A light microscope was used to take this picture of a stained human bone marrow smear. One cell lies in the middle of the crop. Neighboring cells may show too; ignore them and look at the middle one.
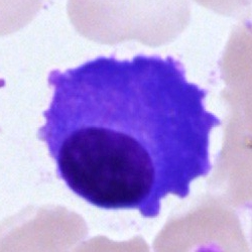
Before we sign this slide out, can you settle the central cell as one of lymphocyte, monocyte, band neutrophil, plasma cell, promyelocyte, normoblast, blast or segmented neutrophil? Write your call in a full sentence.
The cell at the heart of this crop is a plasma cell.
